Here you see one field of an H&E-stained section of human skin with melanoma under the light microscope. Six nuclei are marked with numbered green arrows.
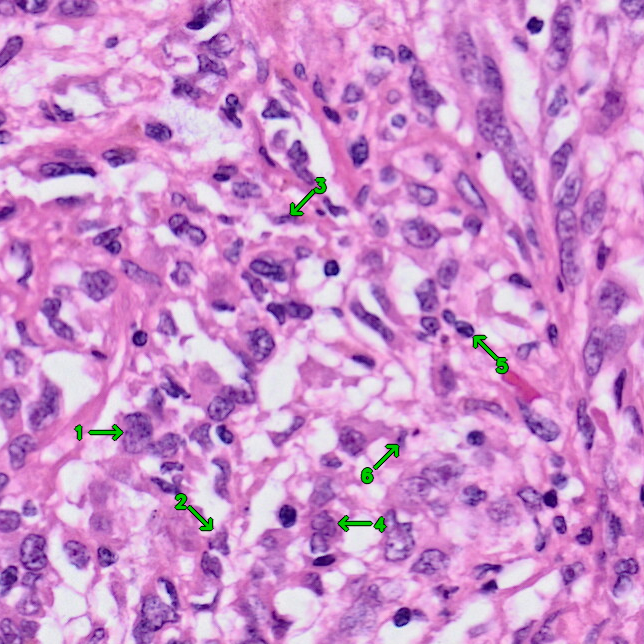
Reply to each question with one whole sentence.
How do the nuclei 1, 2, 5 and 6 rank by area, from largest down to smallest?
Going from the biggest nucleus down to the smallest gives 1, 2, 5, 6.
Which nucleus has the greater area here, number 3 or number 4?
Nucleus 4 covers more area, about 2.5 times as much as nucleus 3.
